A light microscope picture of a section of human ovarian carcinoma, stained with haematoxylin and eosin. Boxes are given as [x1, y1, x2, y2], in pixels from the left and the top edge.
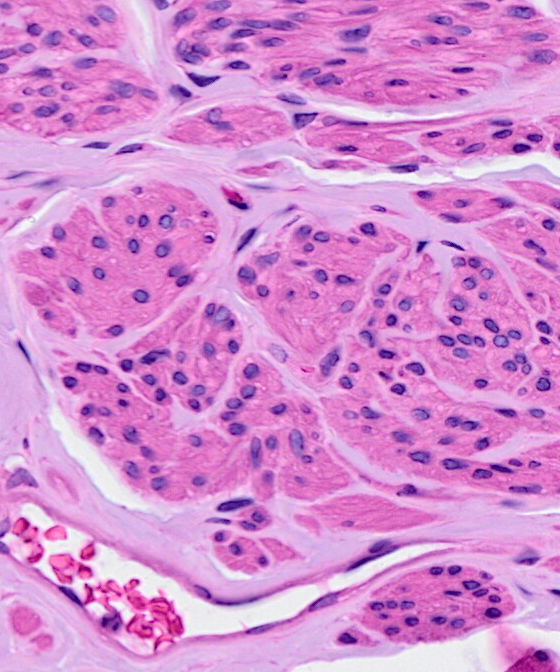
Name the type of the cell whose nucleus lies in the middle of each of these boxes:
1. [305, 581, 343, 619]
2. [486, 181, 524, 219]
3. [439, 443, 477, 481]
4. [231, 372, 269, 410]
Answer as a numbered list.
1. endothelial cell
2. smooth muscle cell
3. smooth muscle cell
4. smooth muscle cell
